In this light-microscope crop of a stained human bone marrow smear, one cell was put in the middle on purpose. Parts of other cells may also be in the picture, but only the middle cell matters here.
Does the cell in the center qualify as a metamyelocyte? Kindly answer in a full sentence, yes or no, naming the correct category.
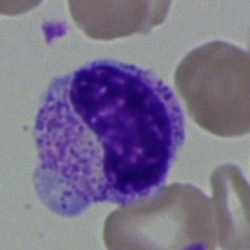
Yes, this central cell is a metamyelocyte.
